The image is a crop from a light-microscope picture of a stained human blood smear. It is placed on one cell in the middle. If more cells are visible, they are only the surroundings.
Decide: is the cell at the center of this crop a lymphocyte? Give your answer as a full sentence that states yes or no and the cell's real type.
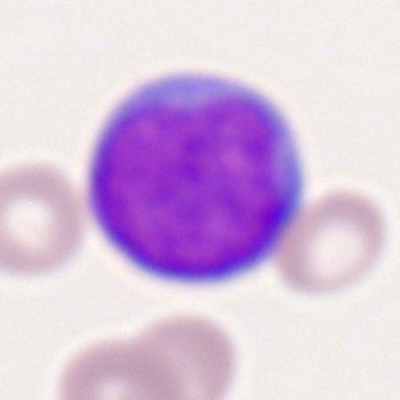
No, it is a myeloblast and not a lymphocyte that occupies the middle of the crop.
